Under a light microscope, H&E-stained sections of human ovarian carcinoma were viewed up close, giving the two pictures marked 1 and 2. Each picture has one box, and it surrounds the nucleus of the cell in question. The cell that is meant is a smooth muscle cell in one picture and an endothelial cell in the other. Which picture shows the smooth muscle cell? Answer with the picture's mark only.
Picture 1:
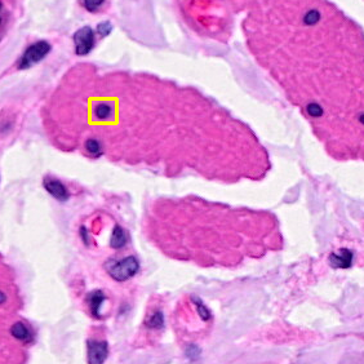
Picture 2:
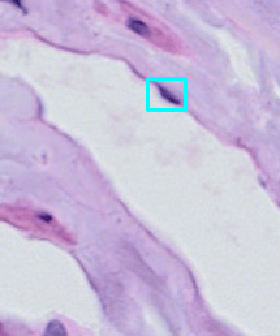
1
